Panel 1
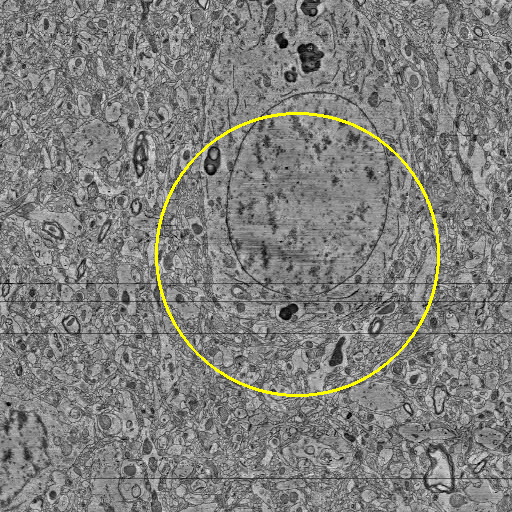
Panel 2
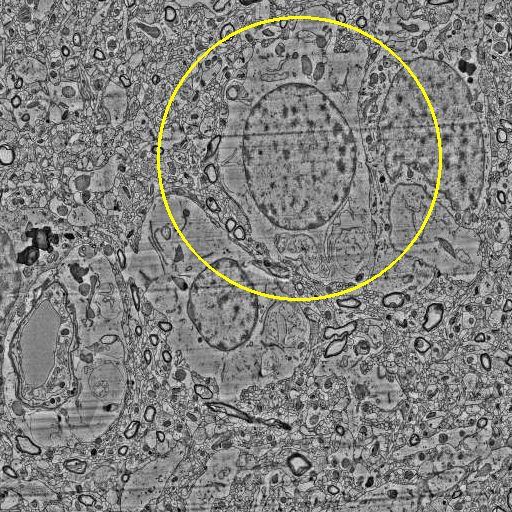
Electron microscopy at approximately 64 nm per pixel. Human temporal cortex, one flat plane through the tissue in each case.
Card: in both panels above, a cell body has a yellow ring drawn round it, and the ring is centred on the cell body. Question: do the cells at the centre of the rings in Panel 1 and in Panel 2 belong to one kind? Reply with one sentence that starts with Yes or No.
No, the cells centred in the rings of Panel 1 and Panel 2 are two kinds of cell.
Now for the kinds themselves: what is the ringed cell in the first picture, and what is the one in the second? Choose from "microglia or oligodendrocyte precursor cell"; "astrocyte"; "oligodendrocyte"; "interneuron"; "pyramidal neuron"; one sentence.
Here the first cell is a pyramidal neuron and the second cell is an astrocyte.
